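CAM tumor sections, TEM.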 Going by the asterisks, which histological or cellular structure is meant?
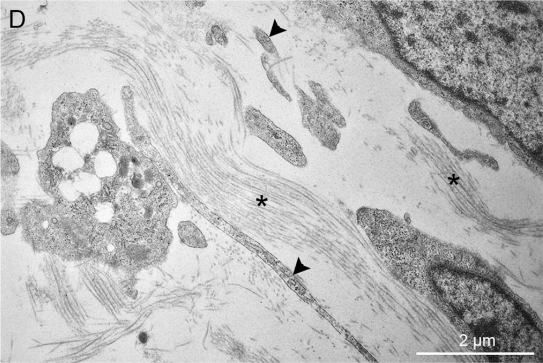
collagen bundles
